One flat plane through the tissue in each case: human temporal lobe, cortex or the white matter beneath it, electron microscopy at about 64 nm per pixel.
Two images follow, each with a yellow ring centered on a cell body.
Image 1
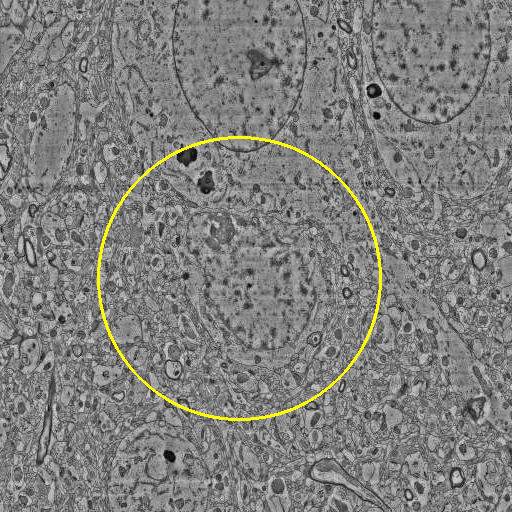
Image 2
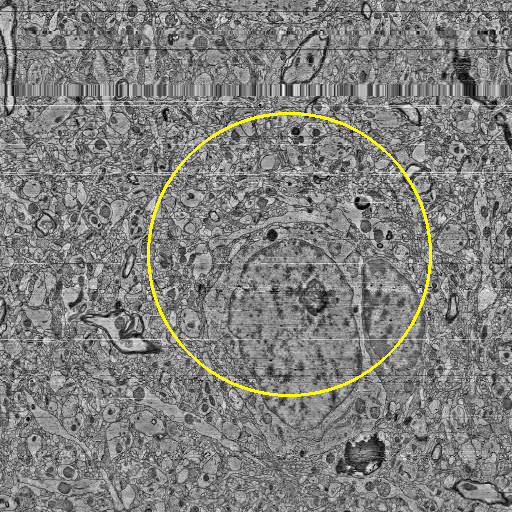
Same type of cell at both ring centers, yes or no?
yes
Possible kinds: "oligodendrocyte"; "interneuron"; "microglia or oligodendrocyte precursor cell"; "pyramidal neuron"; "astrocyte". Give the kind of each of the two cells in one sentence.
The second cell is an interneuron, just as the first is.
